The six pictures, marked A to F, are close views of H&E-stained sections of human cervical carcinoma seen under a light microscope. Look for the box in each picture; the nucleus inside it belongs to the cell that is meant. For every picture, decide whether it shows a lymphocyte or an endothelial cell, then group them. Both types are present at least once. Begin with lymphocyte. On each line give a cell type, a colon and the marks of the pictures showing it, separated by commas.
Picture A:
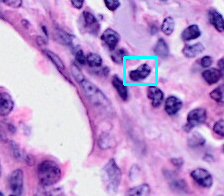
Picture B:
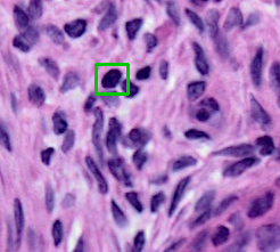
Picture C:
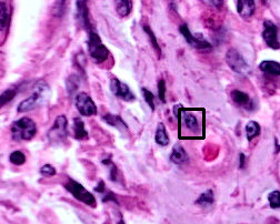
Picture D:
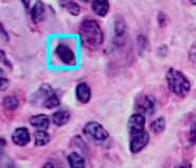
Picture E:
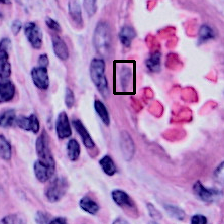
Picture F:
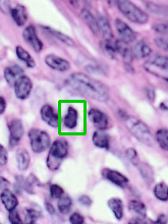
lymphocyte: A, B, D, F
endothelial cell: C, E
